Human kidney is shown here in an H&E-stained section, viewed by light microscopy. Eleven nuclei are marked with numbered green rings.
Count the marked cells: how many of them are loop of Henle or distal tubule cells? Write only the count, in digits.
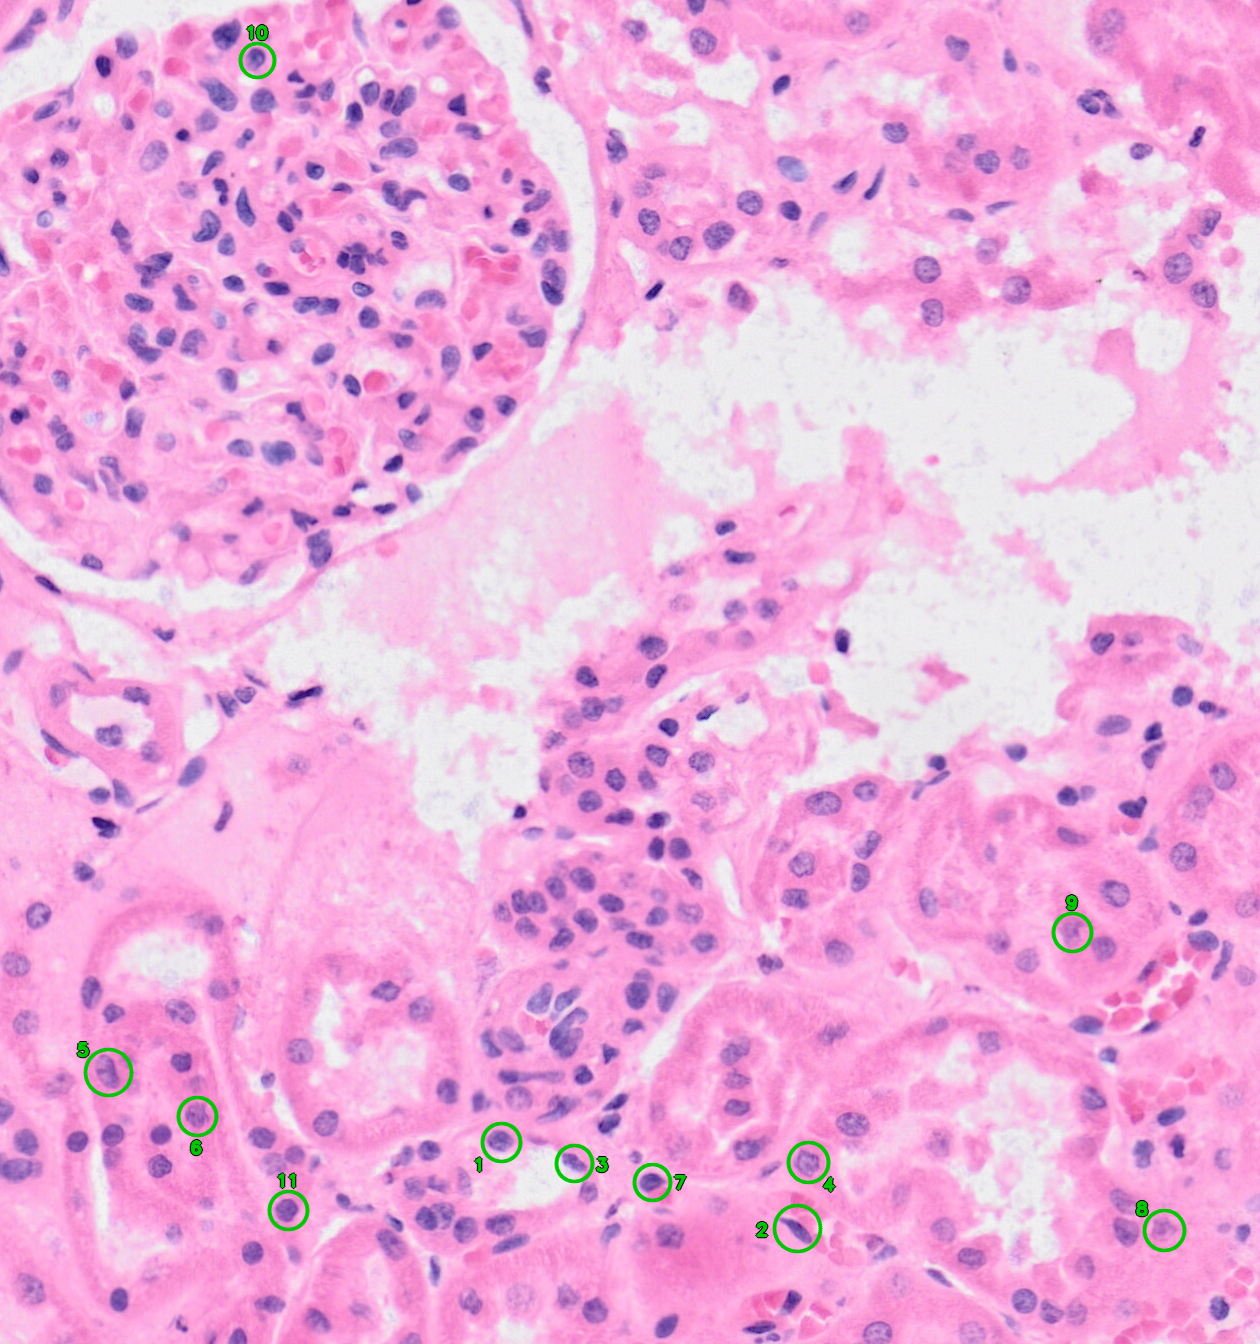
2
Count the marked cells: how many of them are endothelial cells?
3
